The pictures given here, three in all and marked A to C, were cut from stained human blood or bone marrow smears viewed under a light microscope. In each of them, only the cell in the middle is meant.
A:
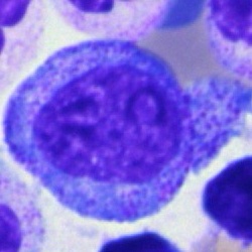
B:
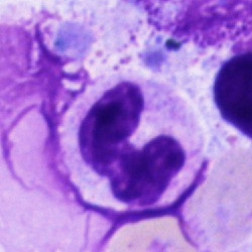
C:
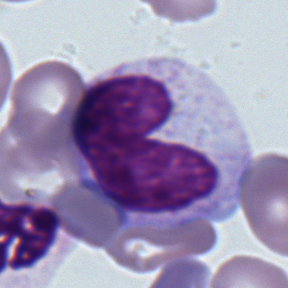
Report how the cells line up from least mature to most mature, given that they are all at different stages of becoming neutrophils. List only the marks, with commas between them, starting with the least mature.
A, C, B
